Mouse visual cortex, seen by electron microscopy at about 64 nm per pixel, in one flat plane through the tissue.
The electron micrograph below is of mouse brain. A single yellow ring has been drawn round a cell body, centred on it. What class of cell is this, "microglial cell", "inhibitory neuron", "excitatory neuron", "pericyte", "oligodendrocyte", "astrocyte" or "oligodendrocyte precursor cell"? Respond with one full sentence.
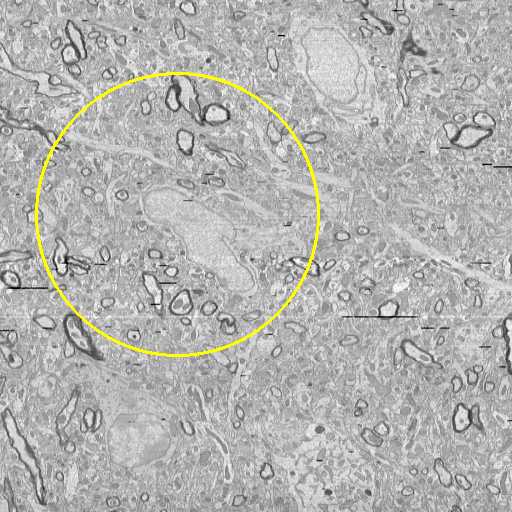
In the micrograph, the cell centred inside the yellow ring is an oligodendrocyte precursor cell.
